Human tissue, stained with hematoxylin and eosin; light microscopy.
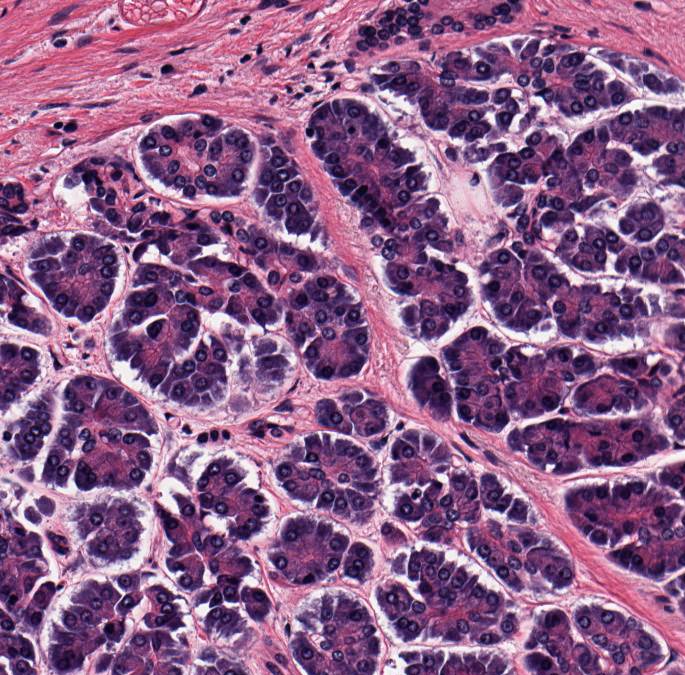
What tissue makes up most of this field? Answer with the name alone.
exocrine pancreas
